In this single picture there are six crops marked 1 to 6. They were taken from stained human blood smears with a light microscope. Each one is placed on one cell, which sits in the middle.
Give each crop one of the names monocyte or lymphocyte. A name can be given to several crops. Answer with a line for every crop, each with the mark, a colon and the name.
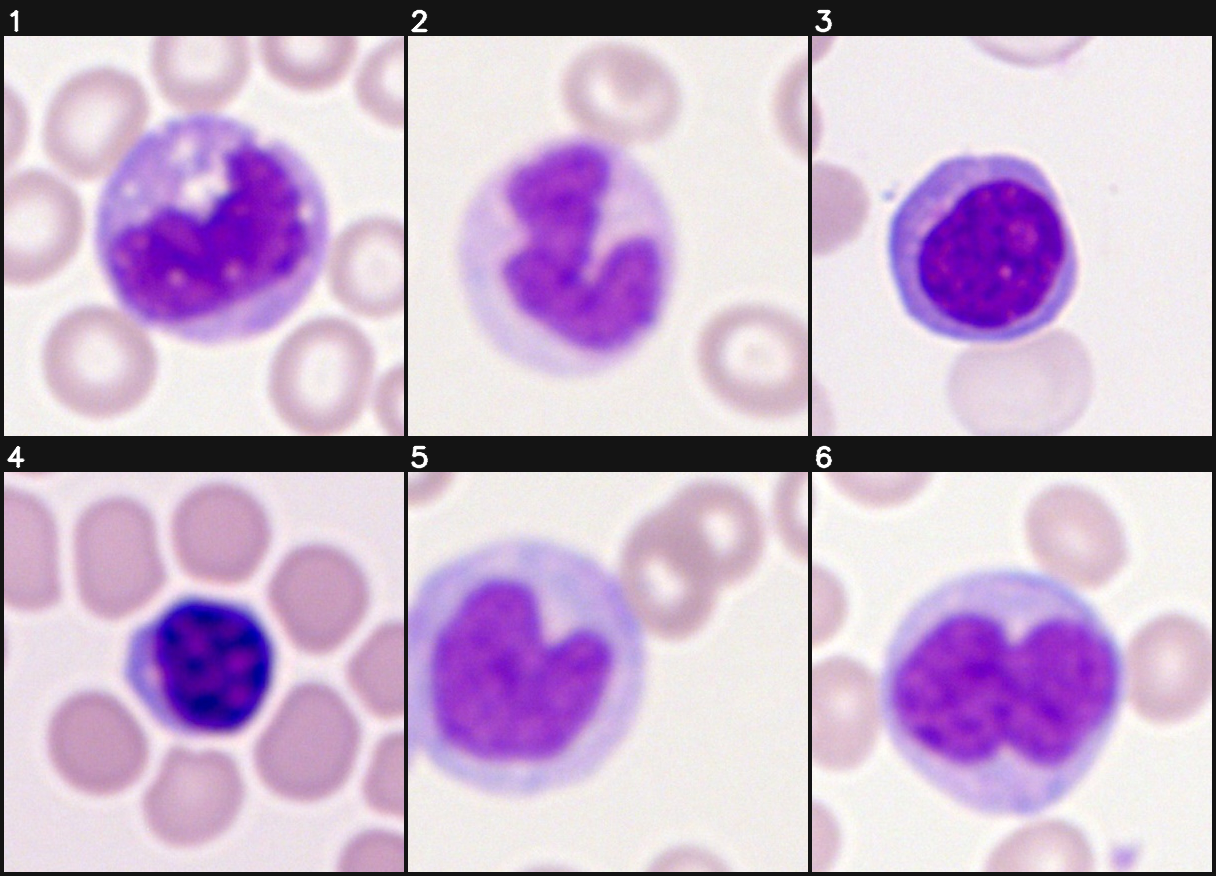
1: monocyte
2: monocyte
3: lymphocyte
4: lymphocyte
5: monocyte
6: monocyte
